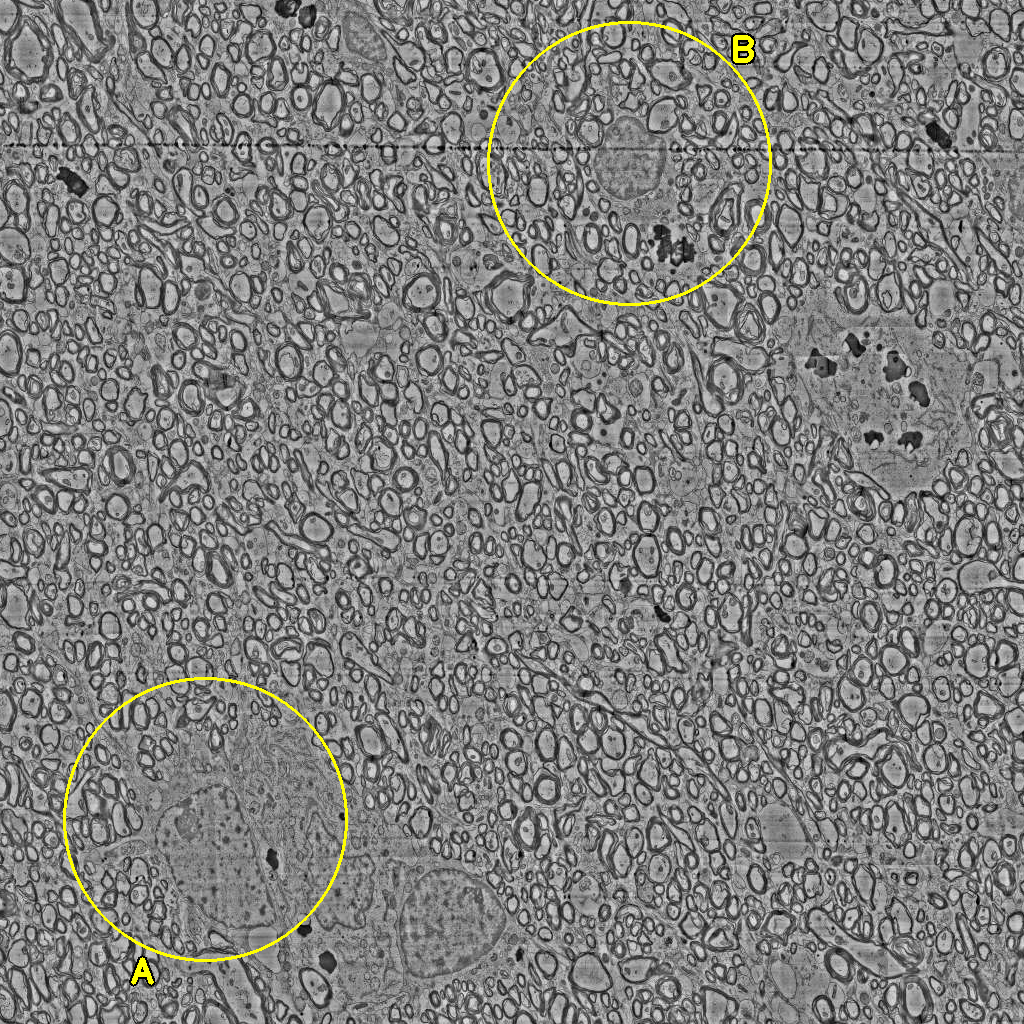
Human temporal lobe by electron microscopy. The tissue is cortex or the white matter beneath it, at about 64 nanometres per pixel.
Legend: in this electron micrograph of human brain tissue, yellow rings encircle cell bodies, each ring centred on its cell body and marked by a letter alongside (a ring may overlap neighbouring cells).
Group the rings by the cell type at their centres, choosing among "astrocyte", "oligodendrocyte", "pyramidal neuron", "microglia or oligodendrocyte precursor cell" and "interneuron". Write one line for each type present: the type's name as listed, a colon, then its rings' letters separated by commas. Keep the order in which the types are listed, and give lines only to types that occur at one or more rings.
astrocyte: A
oligodendrocyte: B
